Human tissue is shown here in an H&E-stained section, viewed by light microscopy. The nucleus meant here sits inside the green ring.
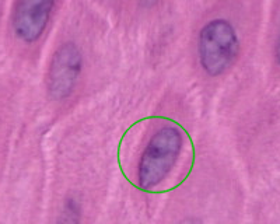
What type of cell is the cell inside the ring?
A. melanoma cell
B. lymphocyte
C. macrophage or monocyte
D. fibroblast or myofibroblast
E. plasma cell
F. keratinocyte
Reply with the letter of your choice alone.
F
